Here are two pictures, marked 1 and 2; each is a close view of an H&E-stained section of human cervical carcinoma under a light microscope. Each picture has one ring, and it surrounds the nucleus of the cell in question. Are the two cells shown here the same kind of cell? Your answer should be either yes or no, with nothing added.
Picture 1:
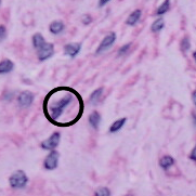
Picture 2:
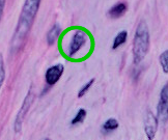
no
